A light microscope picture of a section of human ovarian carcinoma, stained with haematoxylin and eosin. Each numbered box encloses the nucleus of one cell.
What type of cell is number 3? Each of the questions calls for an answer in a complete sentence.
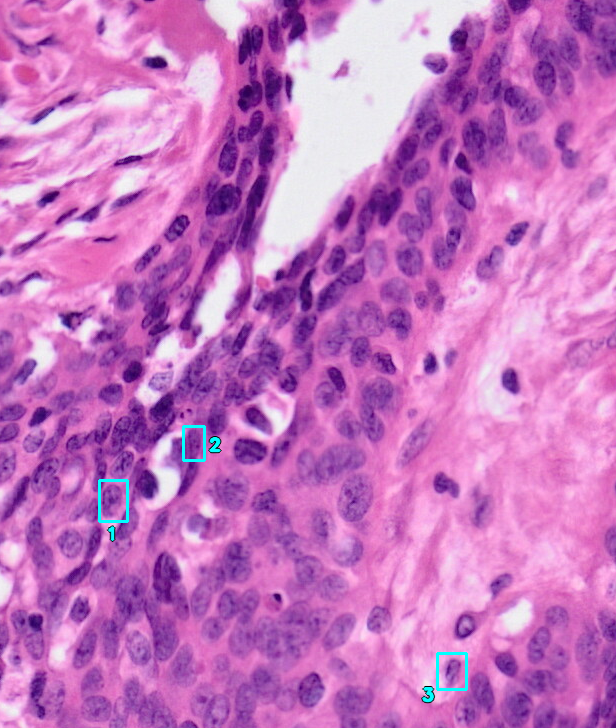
The cell marked with the number 3 is a macrophage or monocyte.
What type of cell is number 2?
The nucleus with number 2 is that of a carcinoma cell.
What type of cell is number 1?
Numbered cell 1 is a macrophage or monocyte in this tissue section.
